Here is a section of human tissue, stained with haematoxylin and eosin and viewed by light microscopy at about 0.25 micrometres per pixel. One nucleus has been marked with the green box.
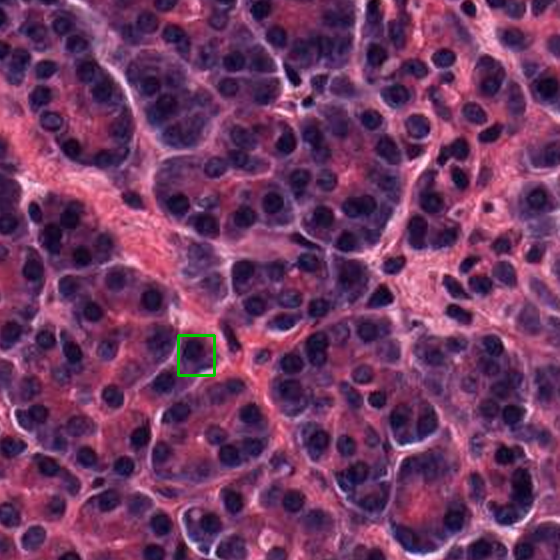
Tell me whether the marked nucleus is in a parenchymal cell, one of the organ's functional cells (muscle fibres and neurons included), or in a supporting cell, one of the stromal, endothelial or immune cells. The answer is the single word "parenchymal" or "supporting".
parenchymal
